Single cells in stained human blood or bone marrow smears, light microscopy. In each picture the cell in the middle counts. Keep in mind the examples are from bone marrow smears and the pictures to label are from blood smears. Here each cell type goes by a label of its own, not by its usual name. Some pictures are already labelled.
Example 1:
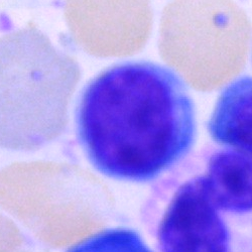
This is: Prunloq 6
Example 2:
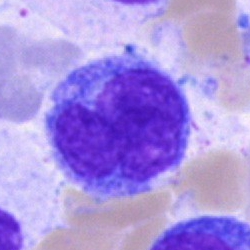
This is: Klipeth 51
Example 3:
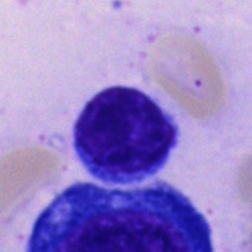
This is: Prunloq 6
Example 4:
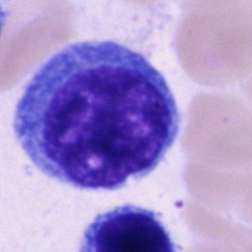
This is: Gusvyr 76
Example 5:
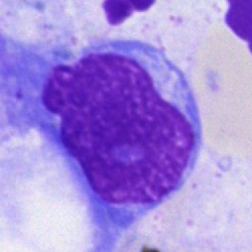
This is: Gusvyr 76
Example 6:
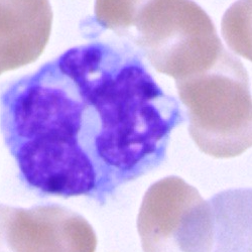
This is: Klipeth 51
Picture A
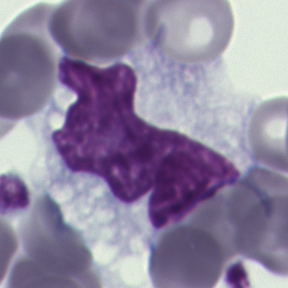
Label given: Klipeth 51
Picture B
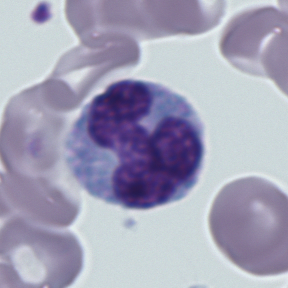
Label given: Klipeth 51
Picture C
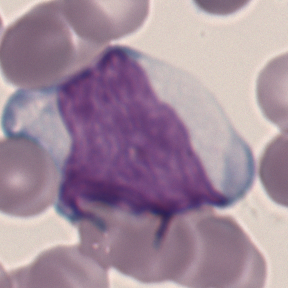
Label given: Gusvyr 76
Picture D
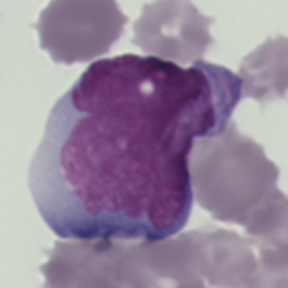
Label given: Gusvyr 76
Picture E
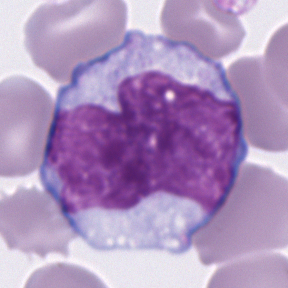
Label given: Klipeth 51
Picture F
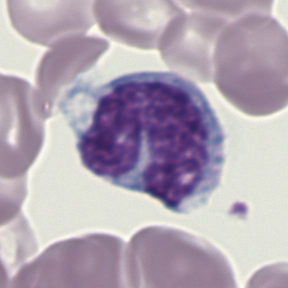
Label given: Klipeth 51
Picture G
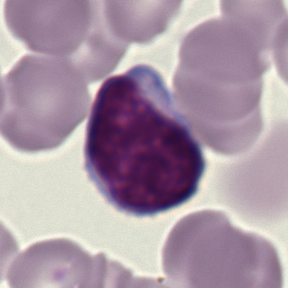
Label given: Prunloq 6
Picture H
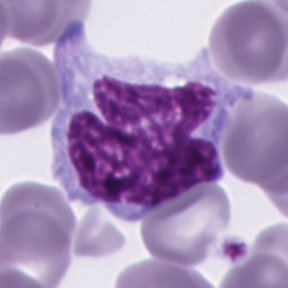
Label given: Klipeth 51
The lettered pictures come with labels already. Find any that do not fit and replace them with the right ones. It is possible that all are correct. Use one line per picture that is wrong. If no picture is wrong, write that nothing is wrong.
All correct.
